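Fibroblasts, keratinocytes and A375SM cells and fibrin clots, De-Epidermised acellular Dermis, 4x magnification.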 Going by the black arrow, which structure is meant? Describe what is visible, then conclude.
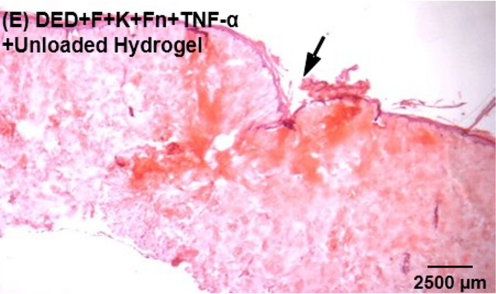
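The arrow points at a break in the surface layer with loose, ragged tissue lifted above it. Red patches lie in the underlying tissue below the break. On this evidence: wound.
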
